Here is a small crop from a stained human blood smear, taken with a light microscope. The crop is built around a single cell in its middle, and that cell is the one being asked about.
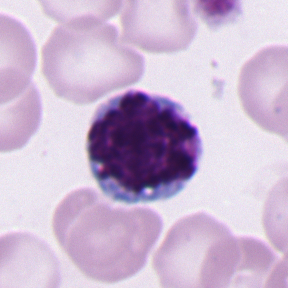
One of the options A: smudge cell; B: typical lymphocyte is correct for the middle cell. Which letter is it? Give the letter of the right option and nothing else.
B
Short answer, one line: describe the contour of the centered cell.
Smooth all around, the outline has no projections to report.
